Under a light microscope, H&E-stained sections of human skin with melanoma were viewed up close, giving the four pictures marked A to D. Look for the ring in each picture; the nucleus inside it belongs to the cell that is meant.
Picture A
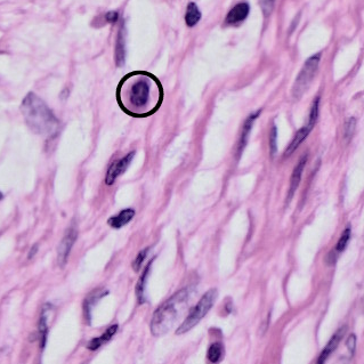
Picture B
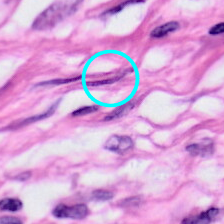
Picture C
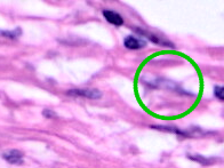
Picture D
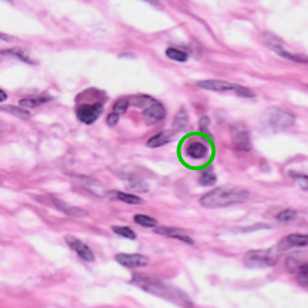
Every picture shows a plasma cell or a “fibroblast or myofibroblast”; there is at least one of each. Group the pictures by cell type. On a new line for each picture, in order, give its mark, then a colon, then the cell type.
A: plasma cell
B: fibroblast or myofibroblast
C: fibroblast or myofibroblast
D: plasma cell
